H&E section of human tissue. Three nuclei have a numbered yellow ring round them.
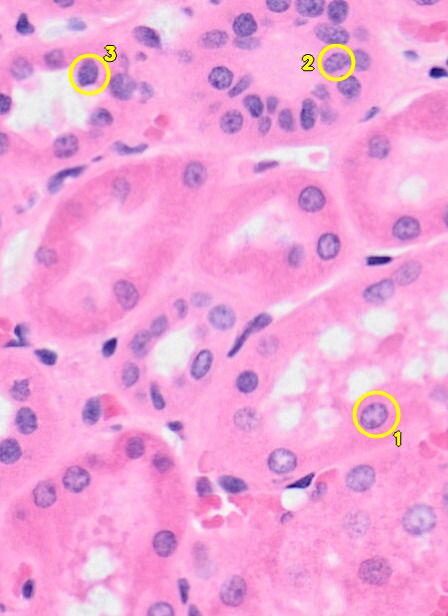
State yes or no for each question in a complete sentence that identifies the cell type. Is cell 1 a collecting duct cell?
No, number 1 corresponds to a proximal tubule cell, not a collecting duct cell.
